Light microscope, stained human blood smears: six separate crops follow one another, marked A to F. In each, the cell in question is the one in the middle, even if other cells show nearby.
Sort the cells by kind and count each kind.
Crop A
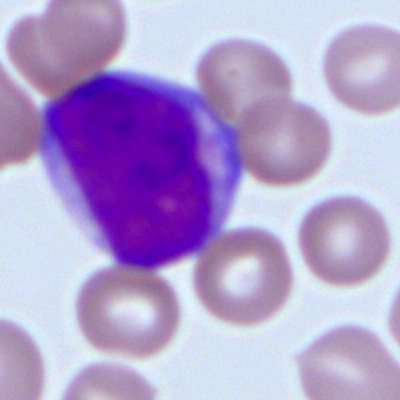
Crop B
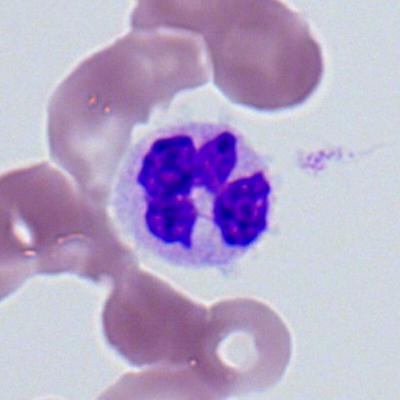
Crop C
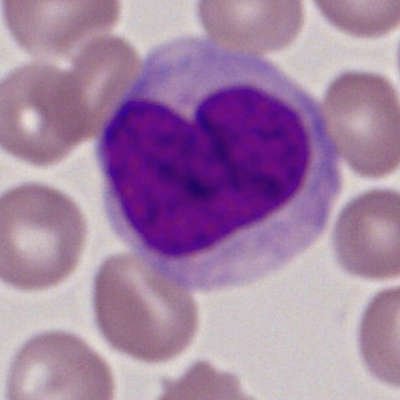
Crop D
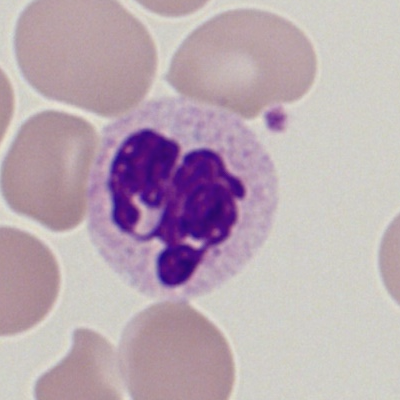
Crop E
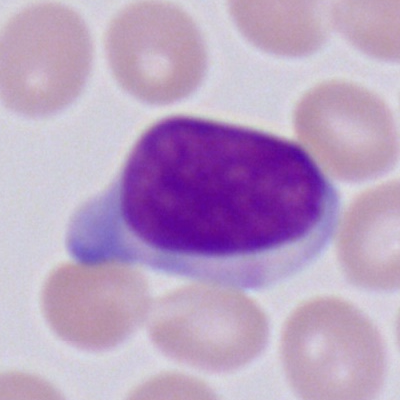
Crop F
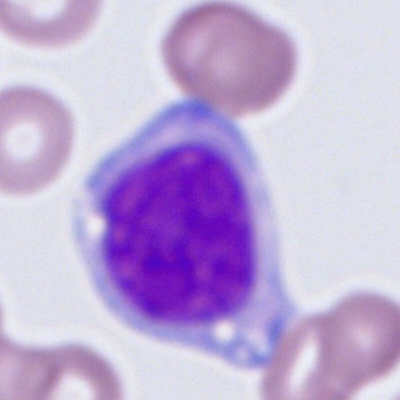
blast: 2
neutrophil: 2
monocyte: 2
